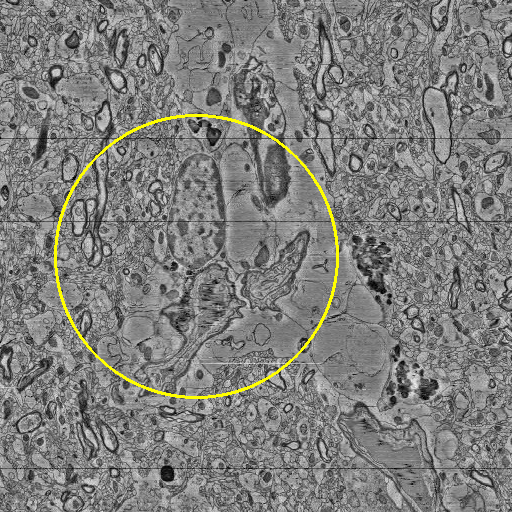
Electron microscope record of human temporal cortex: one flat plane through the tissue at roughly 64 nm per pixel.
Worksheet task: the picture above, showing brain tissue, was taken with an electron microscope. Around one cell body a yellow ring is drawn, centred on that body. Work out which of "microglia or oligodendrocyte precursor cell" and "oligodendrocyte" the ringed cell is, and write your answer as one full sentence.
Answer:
It is a microglial cell or oligodendrocyte precursor cell whose cell body lies at the centre of the yellow ring.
